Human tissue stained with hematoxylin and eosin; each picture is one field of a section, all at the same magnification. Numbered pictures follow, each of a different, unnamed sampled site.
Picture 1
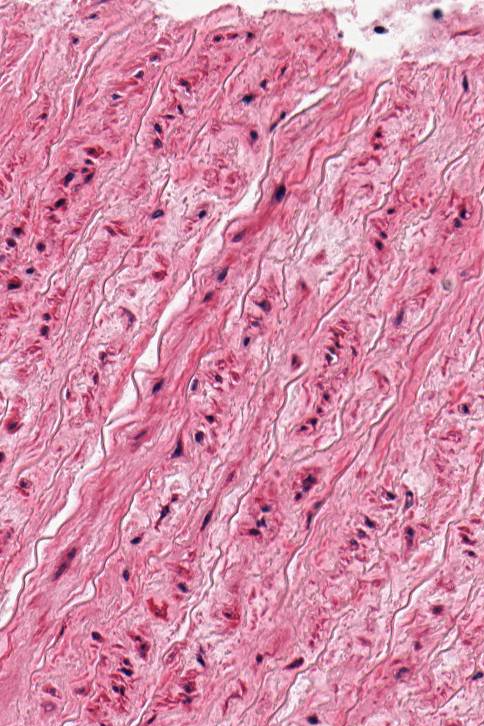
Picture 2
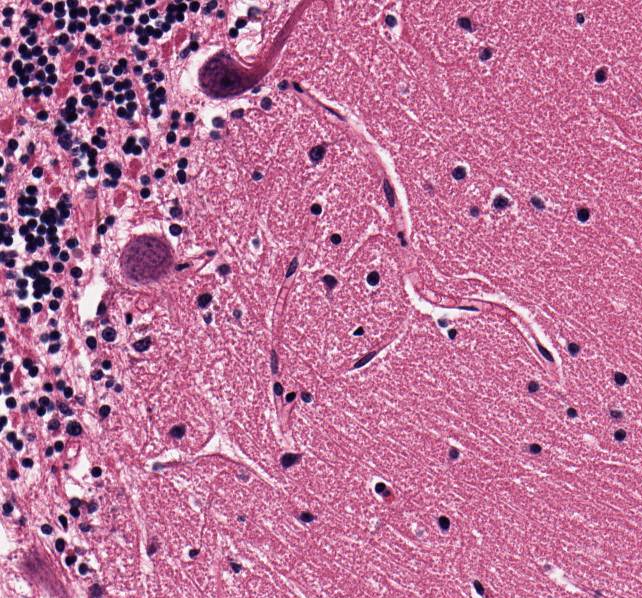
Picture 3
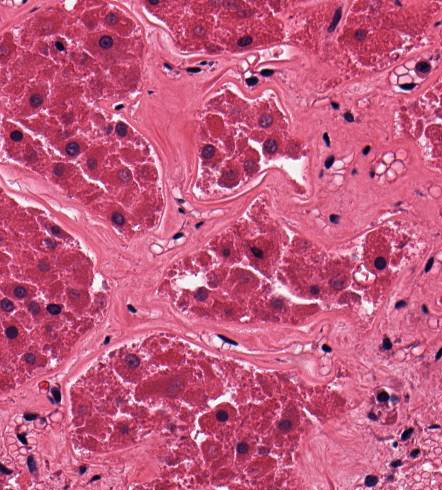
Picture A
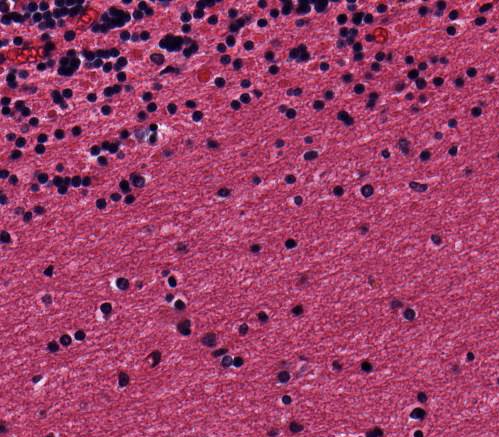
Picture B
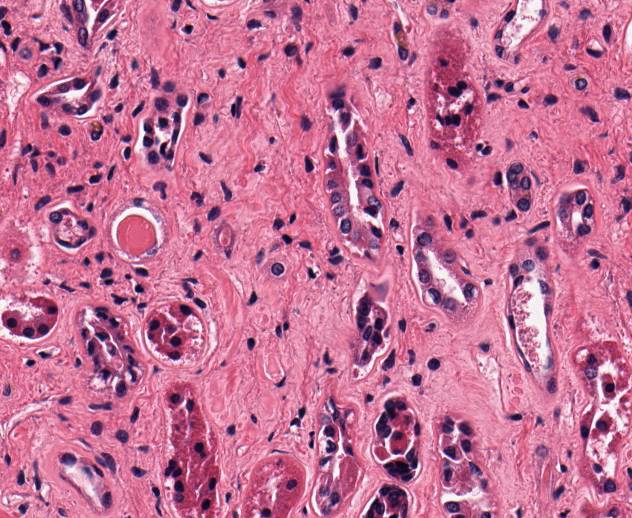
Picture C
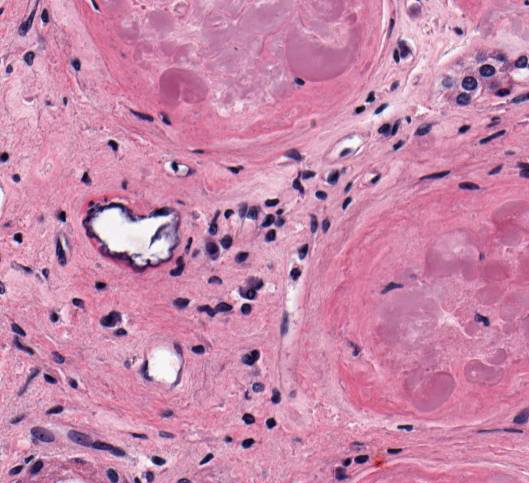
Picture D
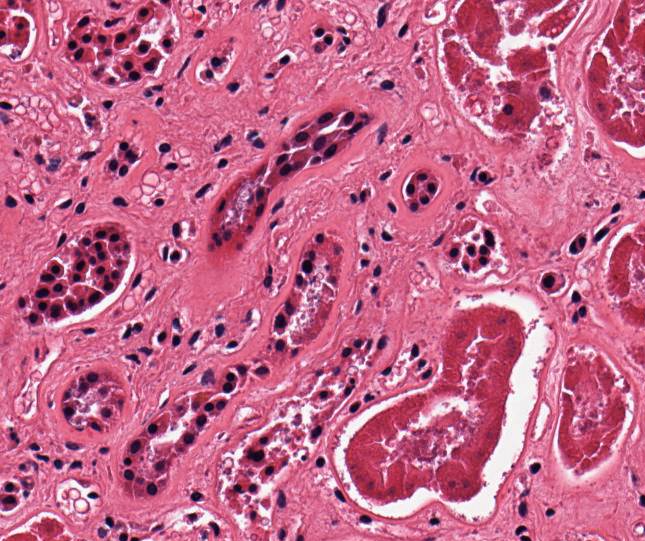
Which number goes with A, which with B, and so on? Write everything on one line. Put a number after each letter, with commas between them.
A 2, B 3, C 3, D 3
